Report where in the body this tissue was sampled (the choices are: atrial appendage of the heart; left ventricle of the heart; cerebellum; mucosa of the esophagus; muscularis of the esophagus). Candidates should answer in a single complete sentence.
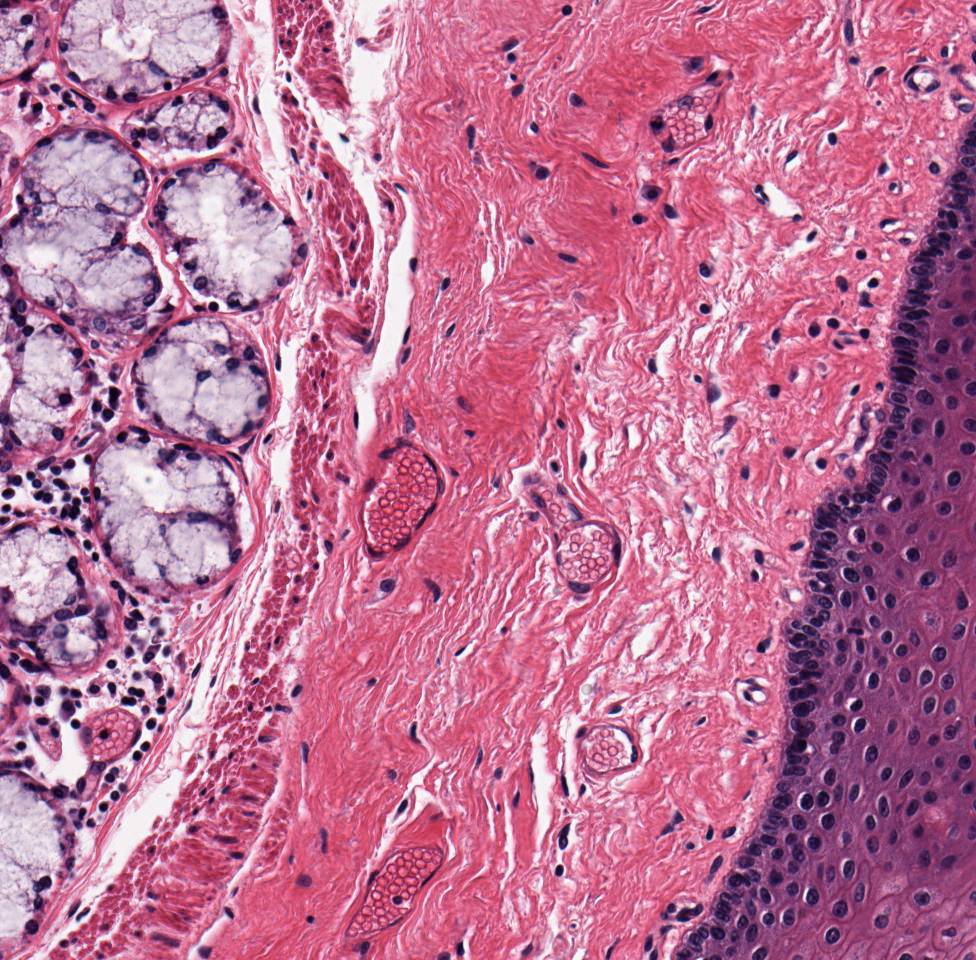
Obtained from the mucosa of the esophagus, the tissue was sectioned for this slide.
